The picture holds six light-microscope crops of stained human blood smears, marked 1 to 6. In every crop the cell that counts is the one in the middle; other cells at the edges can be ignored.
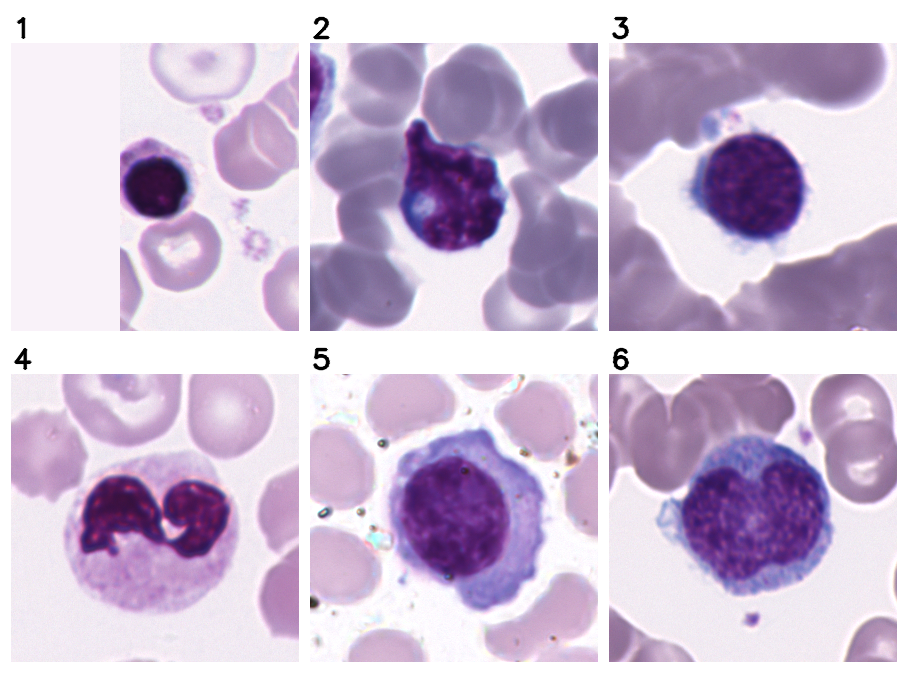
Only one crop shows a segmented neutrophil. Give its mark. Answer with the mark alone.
4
